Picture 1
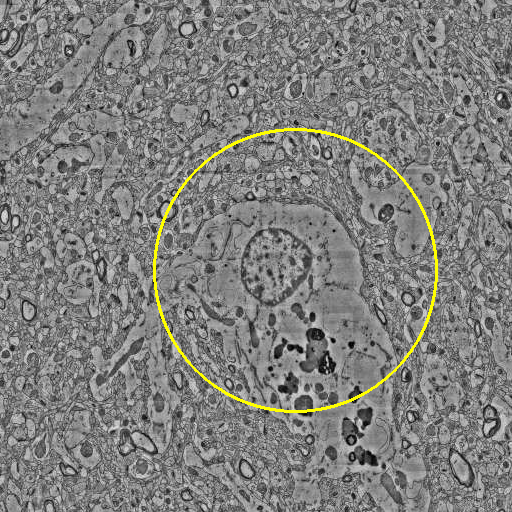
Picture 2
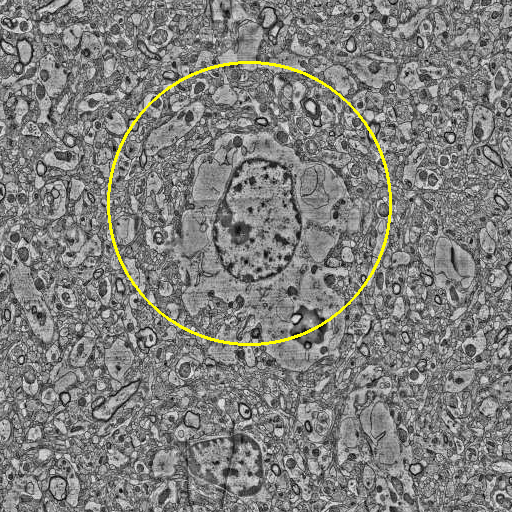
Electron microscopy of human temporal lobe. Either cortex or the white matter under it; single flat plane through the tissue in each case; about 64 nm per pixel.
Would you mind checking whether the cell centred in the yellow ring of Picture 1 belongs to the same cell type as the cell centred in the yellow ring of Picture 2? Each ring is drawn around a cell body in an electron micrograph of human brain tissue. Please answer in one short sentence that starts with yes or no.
Yes, both cells are of the same type.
